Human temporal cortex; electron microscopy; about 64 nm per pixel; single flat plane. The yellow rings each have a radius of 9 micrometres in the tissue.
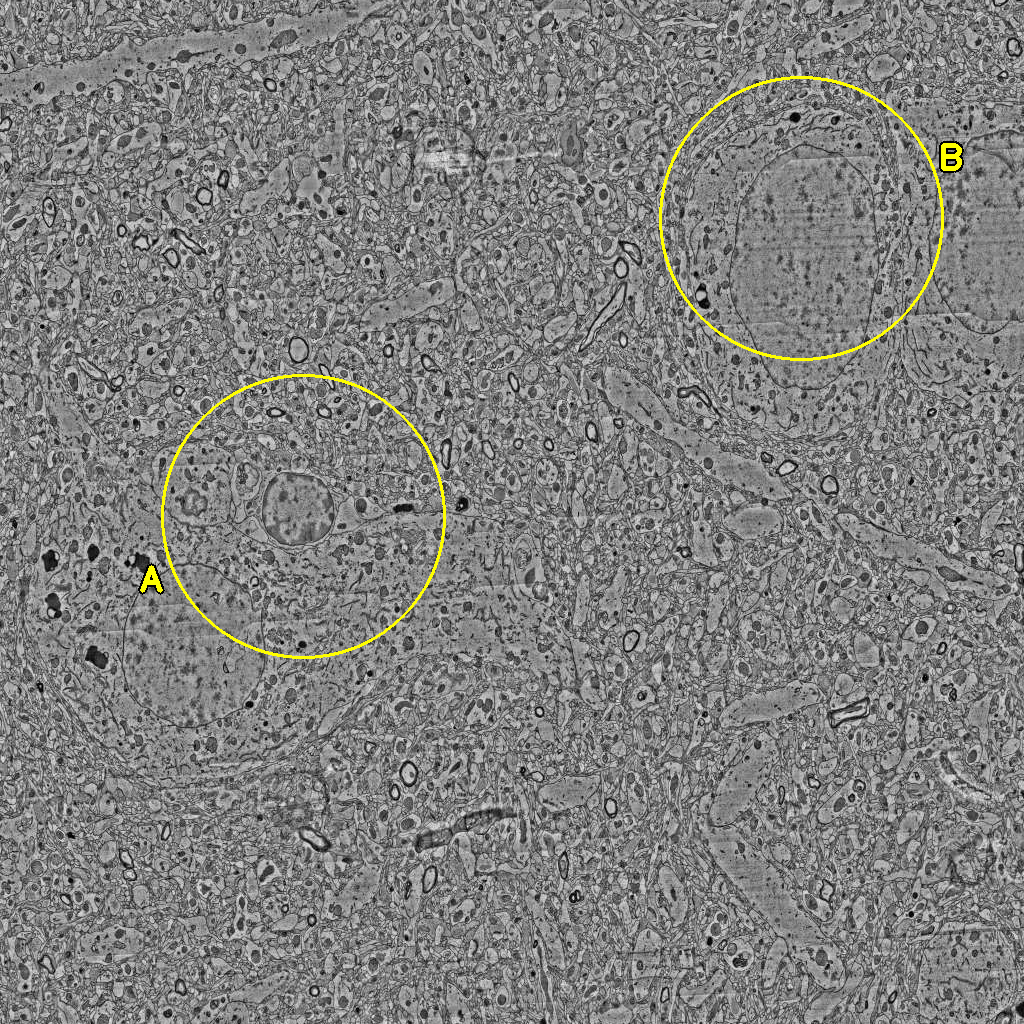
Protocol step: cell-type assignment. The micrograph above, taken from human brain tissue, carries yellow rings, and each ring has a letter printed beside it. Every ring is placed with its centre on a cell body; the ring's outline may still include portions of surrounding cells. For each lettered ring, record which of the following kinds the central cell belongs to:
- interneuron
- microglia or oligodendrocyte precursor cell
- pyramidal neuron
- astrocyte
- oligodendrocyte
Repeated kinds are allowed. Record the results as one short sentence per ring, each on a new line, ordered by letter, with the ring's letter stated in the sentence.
In ring A, the central cell is a microglial cell or oligodendrocyte precursor cell.
In ring B, the central cell is a pyramidal neuron.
